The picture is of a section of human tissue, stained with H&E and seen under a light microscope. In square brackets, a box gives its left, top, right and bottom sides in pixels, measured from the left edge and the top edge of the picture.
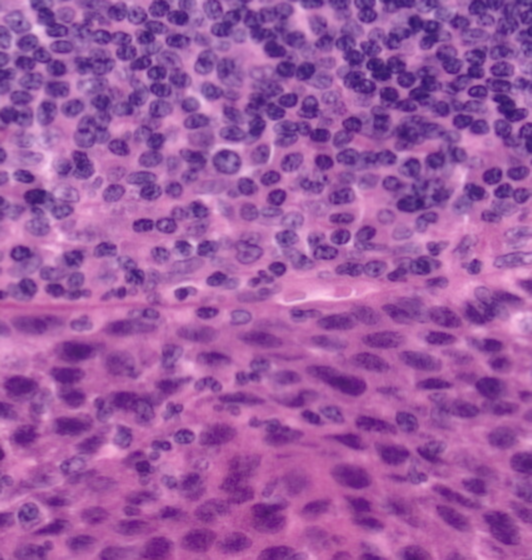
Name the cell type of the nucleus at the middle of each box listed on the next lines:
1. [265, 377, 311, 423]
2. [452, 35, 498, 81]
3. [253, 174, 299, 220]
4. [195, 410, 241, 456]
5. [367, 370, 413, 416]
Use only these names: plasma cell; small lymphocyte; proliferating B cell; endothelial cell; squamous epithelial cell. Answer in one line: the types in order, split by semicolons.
squamous epithelial cell; small lymphocyte; plasma cell; squamous epithelial cell; squamous epithelial cell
